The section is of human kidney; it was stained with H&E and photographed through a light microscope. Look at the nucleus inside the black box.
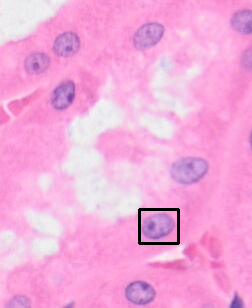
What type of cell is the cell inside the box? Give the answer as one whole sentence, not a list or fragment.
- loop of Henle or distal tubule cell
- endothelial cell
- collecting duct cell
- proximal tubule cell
With respect to cell type, the cell inside the box is a proximal tubule cell.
